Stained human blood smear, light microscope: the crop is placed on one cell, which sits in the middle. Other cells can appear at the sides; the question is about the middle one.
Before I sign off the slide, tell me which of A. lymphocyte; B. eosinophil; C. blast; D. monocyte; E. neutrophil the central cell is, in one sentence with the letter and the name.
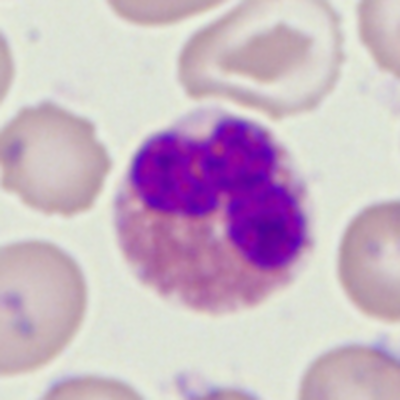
The correct identification, given in option B, is that the central cell is an eosinophil.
